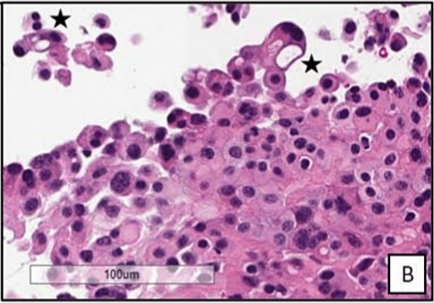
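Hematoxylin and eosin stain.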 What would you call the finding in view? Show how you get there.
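Nuclei vary clearly in size and shape. Cells vary in size and in the amount of pink cytoplasm.
Prominent nuclear and cytoplasmic pleomorphism.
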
